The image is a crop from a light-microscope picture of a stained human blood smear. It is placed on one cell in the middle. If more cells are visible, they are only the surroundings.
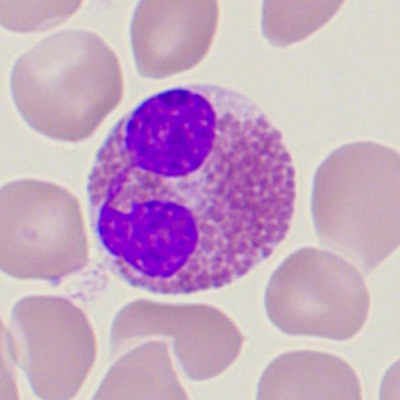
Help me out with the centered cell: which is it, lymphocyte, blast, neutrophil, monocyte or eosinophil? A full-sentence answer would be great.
The cell in the middle of the field of view is an eosinophil.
